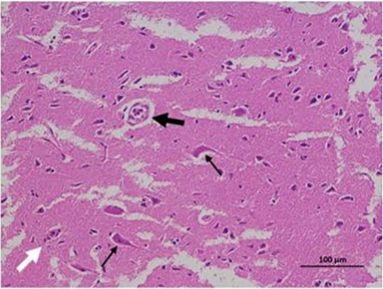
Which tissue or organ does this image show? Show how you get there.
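Brain tissue. Pale pink fibrillar neuropil with scattered neuronal cell bodies. Irregular clear clefts run through the tissue.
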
